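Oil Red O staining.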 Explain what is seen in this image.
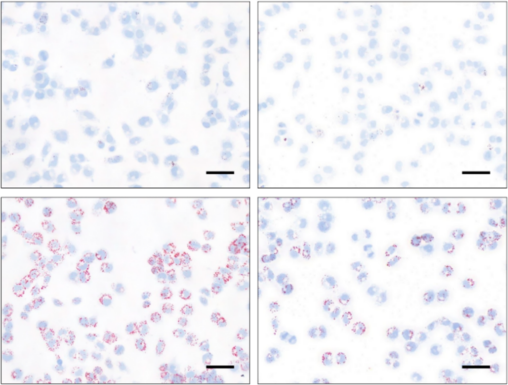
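In the top two fields the cells are almost free of red, with only an occasional tiny red dot. In the bottom fields many cells carry small red droplets clustered in the cytoplasm around the nucleus, often forming a ring. The red droplets are dense in nearly every cell in the bottom left field and sparser and smaller in the bottom right field.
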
